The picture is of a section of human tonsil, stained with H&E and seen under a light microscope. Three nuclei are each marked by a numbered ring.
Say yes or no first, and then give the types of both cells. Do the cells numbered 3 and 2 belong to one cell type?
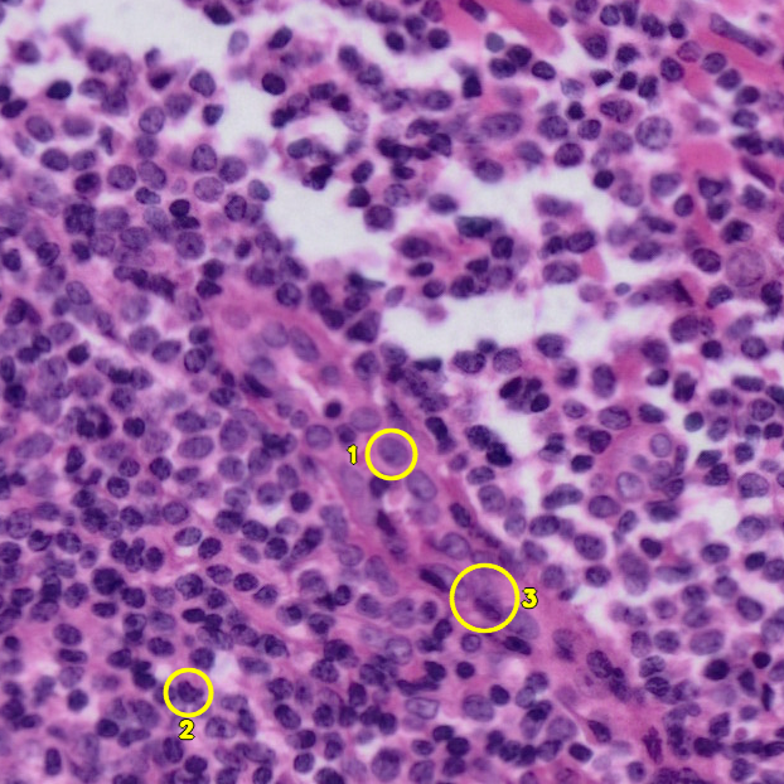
No, cell 3 is an endothelial cell and cell 2 is a small lymphocyte.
